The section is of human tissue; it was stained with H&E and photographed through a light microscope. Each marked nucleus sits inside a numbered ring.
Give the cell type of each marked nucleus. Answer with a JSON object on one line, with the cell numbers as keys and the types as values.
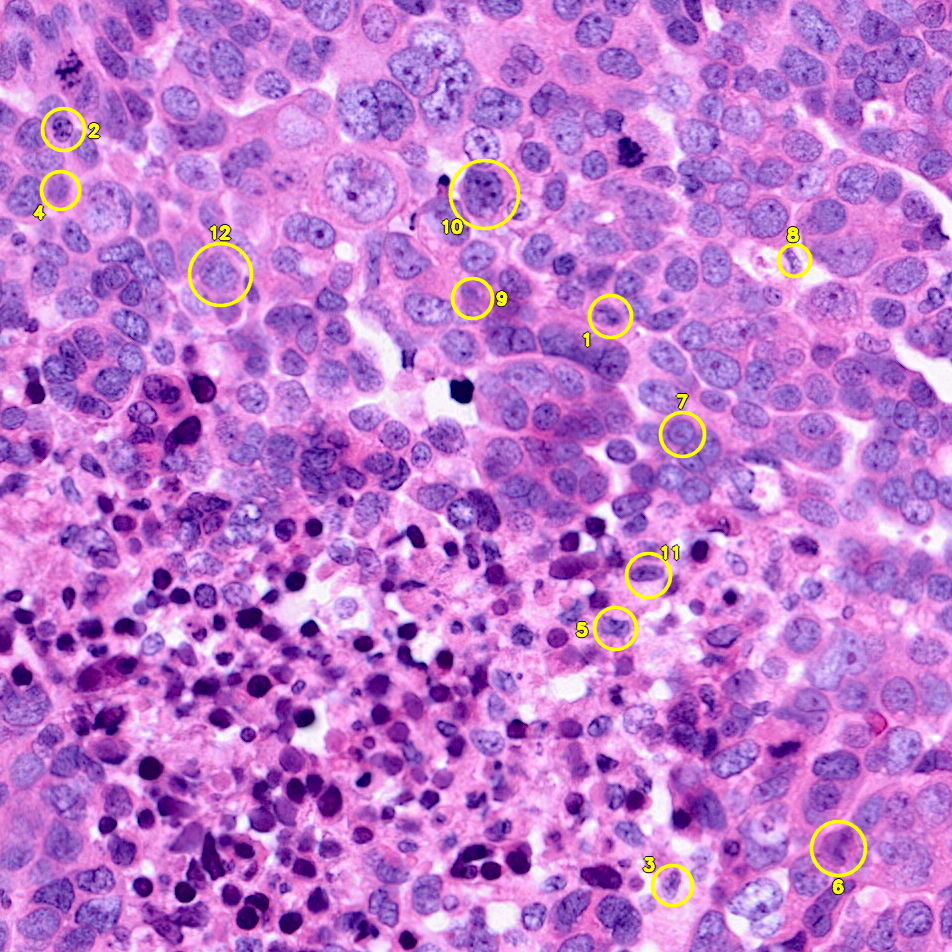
{"1": "macrophage or monocyte", "2": "lymphocyte", "3": "macrophage or monocyte", "4": "carcinoma cell", "5": "macrophage or monocyte", "6": "carcinoma cell", "7": "carcinoma cell", "8": "macrophage or monocyte", "9": "carcinoma cell", "10": "carcinoma cell", "11": "macrophage or monocyte", "12": "carcinoma cell"}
